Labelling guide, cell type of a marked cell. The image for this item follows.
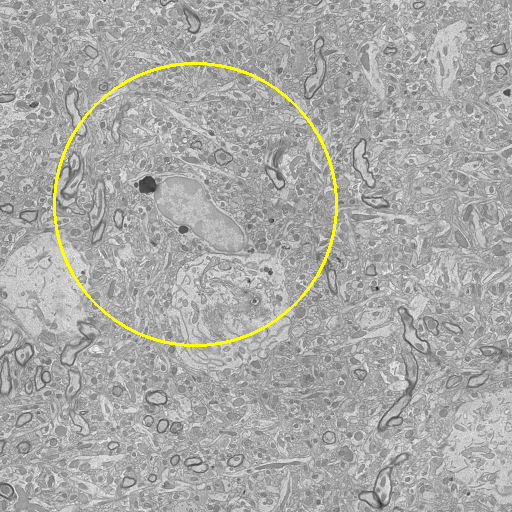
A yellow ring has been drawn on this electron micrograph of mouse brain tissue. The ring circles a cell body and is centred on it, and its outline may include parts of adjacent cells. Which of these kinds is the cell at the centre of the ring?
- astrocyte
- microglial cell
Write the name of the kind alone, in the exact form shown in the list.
microglial cell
